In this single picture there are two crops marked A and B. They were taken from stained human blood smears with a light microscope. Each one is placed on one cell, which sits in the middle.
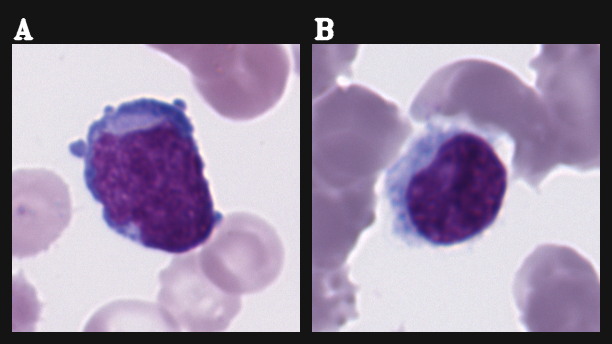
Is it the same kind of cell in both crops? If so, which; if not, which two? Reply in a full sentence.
No, mark crop A as a myeloblast and crop B as a hairy cell.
